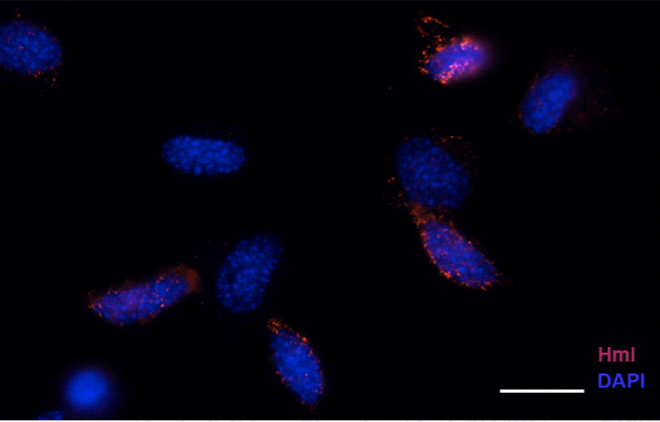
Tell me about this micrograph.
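Isolated hemocytes are seen as scattered oval blue nuclei on a dark background. Around several of these nuclei lie fine red dots, clustered at the edges and over the nuclei, while other nuclei show little or no red.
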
